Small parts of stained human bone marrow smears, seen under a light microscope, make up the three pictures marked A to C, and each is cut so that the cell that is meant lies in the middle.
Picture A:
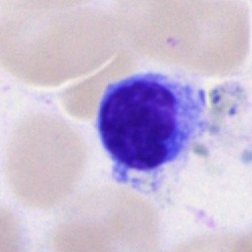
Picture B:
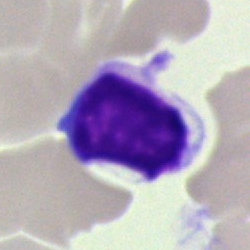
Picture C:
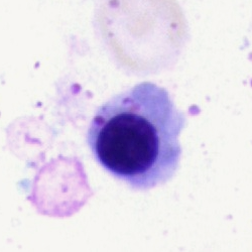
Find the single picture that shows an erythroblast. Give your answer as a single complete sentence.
The erythroblast is the one in picture C.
